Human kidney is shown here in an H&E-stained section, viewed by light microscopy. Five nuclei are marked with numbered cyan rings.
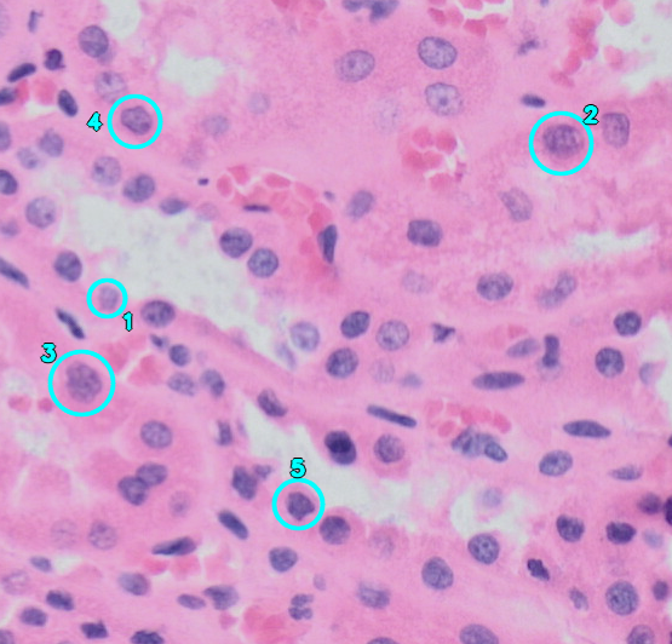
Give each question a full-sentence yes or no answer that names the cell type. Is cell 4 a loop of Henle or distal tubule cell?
No, calling cell 4 a loop of Henle or distal tubule cell is incorrect; it is a proximal tubule cell.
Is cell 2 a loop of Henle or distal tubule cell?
No, the cell tagged 2 is a proximal tubule cell, not a loop of Henle or distal tubule cell.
